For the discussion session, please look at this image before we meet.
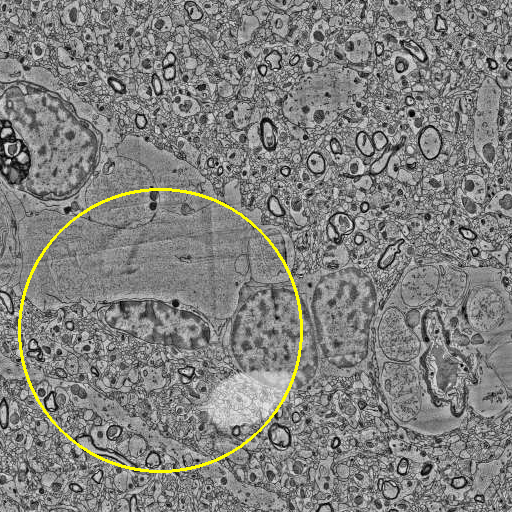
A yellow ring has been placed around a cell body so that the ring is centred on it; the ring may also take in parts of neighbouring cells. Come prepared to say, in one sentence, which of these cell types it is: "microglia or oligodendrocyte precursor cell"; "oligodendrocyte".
The cell centred in the ring is a microglial cell or oligodendrocyte precursor cell.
